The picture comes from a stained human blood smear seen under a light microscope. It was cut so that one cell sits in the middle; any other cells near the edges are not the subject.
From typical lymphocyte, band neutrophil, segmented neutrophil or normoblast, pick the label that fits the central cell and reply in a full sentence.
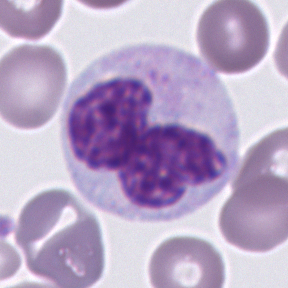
In this crop, the cell at the very middle is a segmented neutrophil.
